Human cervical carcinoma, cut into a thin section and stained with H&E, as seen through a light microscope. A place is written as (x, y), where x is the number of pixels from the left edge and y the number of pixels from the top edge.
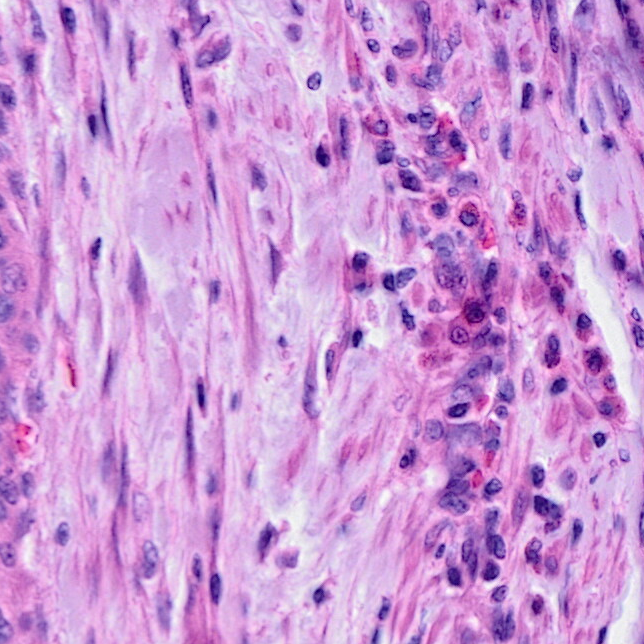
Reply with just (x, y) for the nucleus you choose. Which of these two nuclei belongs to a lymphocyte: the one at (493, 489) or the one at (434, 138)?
(493, 489)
